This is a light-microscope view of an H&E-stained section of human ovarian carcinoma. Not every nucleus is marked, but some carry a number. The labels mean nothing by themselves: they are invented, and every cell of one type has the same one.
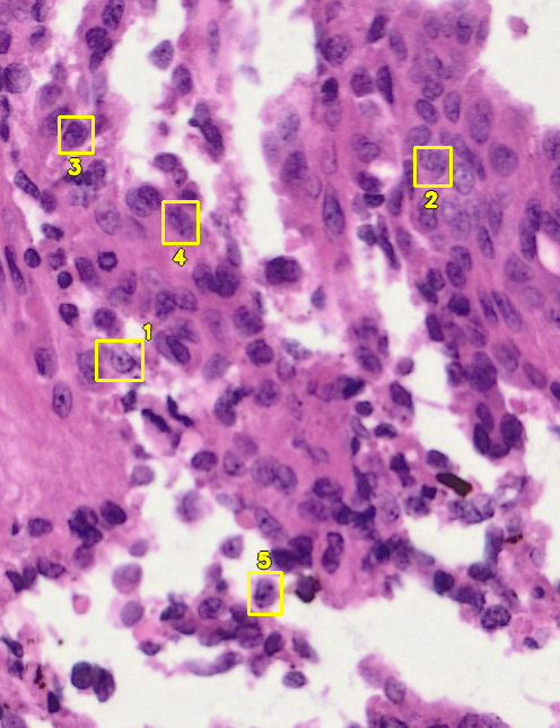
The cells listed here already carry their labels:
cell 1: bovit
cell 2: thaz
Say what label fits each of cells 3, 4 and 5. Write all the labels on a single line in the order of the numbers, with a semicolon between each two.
thaz; thaz; bovit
